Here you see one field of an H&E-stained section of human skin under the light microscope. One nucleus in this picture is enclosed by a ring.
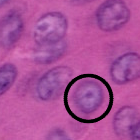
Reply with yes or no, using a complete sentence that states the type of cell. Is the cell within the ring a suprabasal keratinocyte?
Yes, the cell within the ring is properly called a suprabasal keratinocyte in this section.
